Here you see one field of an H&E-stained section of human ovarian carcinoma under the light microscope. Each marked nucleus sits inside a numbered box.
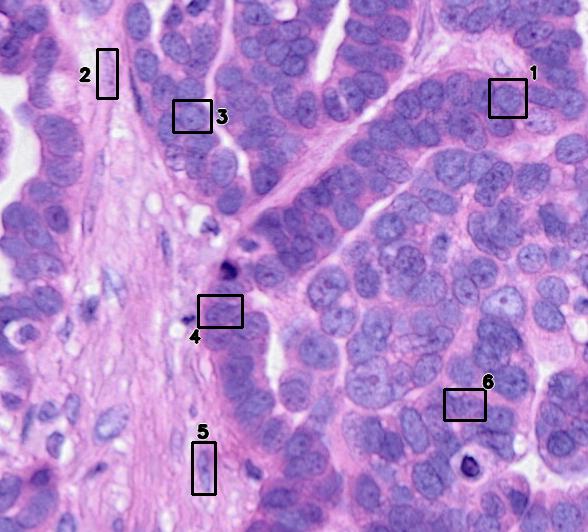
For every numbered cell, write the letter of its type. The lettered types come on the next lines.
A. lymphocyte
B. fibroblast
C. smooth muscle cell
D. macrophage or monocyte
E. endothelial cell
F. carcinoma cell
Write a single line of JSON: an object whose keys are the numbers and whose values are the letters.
{"1": "F", "2": "B", "3": "F", "4": "F", "5": "B", "6": "F"}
